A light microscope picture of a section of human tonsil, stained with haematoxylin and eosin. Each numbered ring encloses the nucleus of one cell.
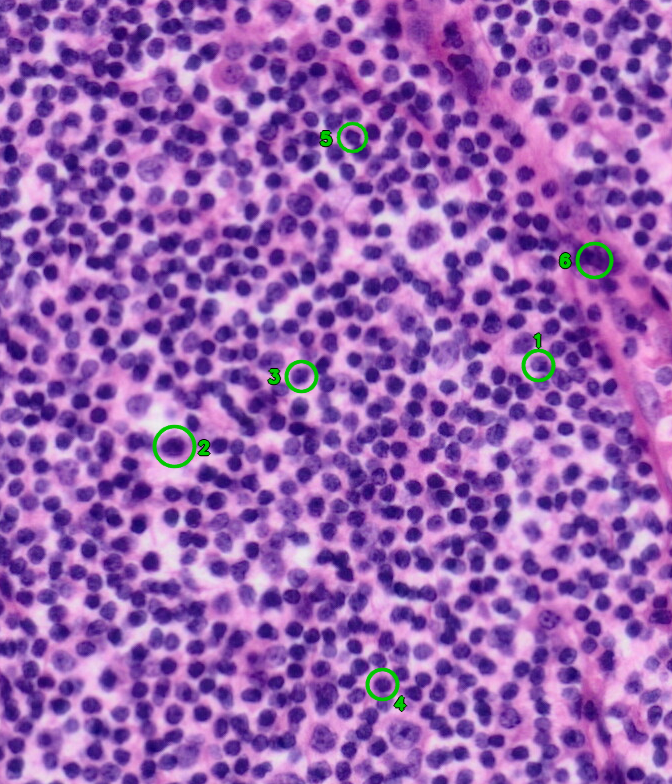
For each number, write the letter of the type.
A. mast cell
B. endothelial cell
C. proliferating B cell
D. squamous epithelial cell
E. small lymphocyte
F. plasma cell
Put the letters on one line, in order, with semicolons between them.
E; C; E; E; E; B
